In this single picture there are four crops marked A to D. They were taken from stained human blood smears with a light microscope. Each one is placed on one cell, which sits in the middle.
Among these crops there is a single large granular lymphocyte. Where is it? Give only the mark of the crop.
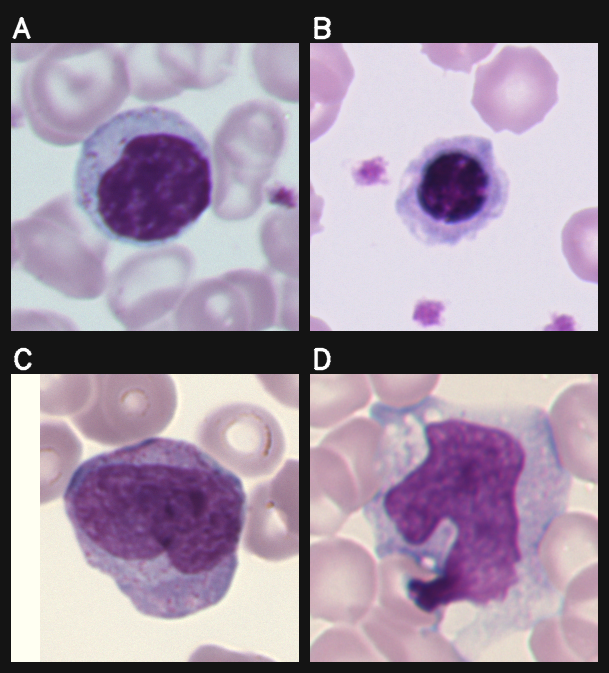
A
